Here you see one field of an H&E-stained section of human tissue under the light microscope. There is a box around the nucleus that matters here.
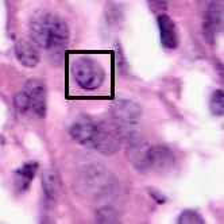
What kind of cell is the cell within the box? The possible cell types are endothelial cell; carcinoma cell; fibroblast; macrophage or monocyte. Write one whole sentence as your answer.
The correct response here is that the cell within the box is a macrophage or monocyte.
